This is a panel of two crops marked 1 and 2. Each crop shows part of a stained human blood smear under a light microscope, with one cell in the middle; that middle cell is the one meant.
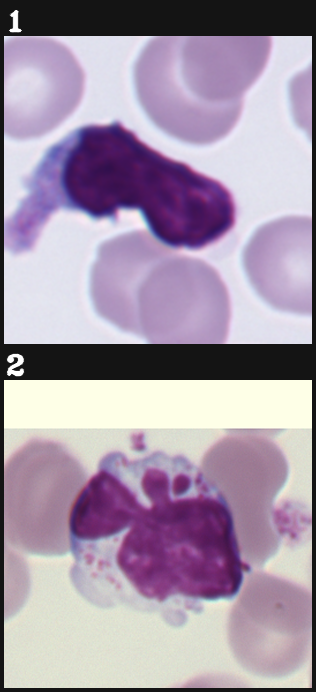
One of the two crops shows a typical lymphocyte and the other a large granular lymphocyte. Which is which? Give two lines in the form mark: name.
1: typical lymphocyte
2: large granular lymphocyte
